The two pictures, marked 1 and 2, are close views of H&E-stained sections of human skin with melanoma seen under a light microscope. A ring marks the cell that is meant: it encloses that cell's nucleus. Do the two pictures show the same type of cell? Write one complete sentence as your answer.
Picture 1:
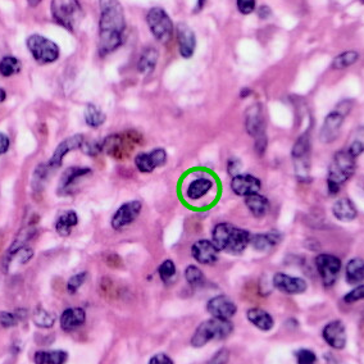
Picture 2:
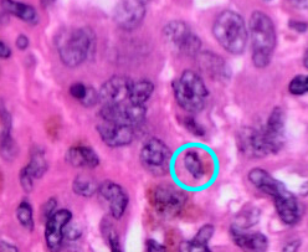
No, they differ: the cell is a lymphocyte in picture 1 and a “macrophage or monocyte” in picture 2.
